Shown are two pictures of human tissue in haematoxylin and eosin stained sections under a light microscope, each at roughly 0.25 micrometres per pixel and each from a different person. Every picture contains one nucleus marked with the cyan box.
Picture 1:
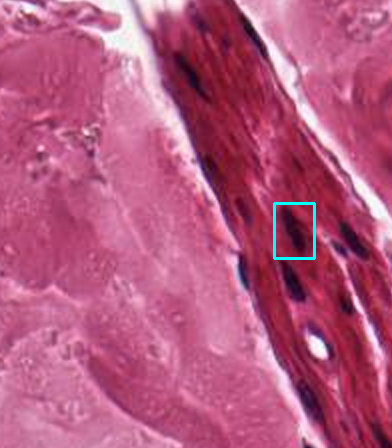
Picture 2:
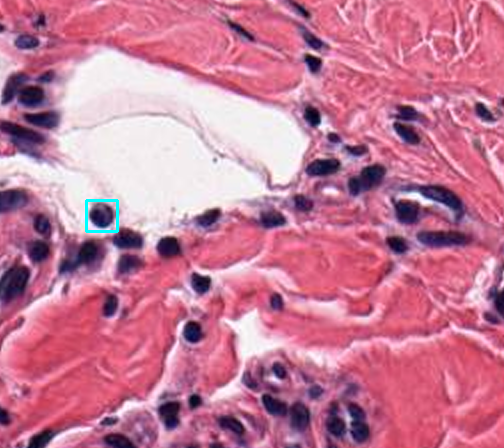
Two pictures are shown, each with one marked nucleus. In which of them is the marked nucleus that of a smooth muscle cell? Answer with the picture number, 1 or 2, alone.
1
